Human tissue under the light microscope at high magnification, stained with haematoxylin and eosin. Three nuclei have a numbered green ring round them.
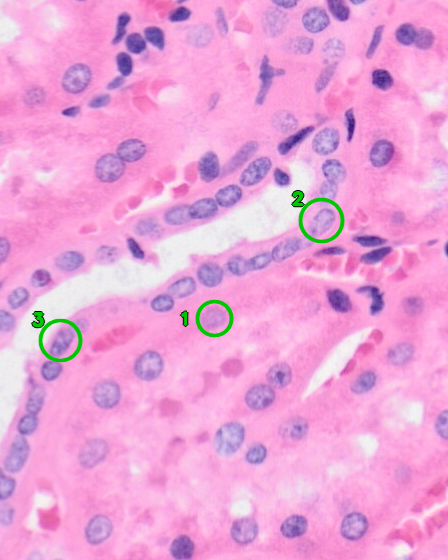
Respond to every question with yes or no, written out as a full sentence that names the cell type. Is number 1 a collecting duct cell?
No, the cell tagged 1 is a proximal tubule cell, and not a collecting duct cell.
